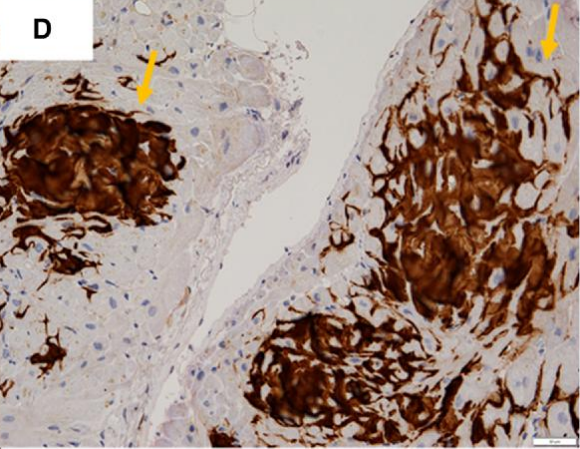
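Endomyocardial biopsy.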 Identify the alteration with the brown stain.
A: amyloid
